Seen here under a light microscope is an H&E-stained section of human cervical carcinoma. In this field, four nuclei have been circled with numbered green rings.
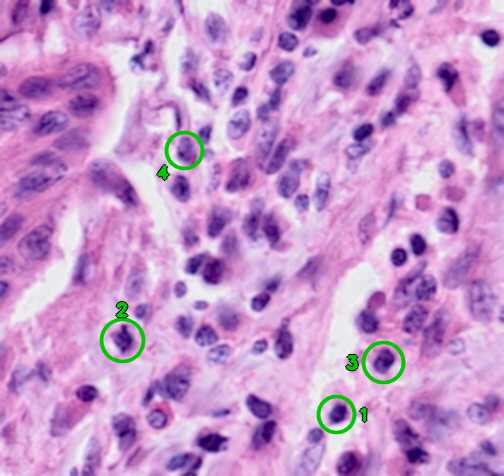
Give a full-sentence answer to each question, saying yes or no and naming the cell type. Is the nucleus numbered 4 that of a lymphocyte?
No, cell 4 is to be classed as a macrophage or monocyte, not a lymphocyte.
